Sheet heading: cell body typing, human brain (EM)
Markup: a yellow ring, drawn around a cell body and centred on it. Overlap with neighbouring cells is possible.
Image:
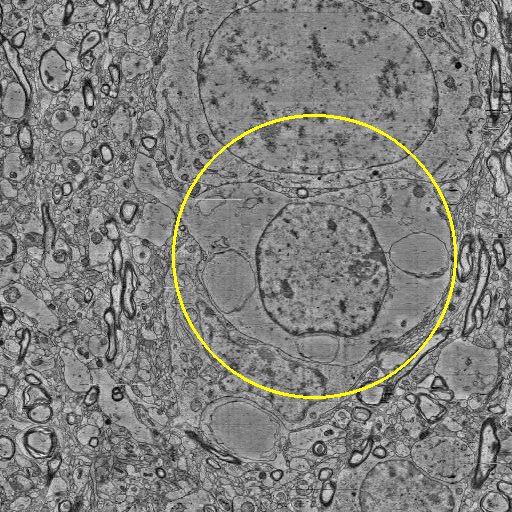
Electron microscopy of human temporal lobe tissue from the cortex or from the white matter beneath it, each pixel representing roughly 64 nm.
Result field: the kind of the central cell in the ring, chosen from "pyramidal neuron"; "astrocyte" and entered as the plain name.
astrocyte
